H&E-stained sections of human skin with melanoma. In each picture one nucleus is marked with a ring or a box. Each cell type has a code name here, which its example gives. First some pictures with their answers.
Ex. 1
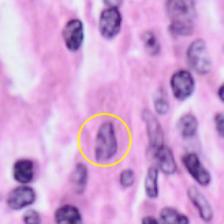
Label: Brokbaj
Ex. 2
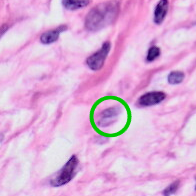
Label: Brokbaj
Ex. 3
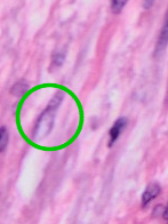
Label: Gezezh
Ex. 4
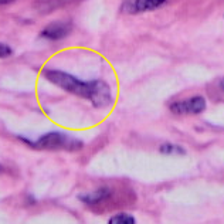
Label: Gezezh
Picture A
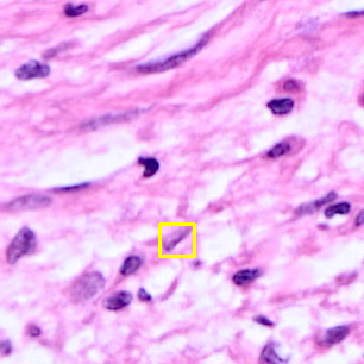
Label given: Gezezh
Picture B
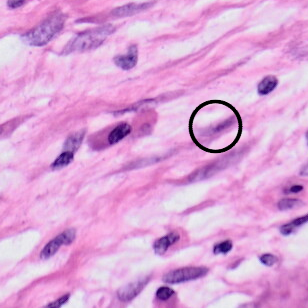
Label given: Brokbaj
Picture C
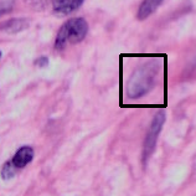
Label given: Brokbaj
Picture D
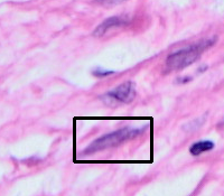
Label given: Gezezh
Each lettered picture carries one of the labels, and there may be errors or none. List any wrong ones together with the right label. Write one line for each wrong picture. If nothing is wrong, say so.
B: not Brokbaj but Gezezh
C: not Brokbaj but Gezezh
